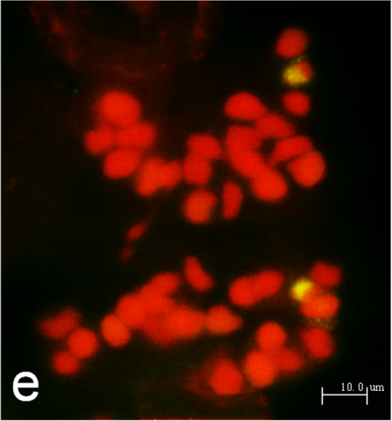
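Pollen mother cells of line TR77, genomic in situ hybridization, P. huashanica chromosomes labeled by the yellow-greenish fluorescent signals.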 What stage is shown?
meiotic anaphase I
